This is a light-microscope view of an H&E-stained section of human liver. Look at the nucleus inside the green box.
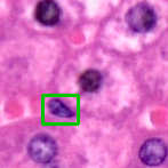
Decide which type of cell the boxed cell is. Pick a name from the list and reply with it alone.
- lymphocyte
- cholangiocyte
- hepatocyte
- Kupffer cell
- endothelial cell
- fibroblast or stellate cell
fibroblast or stellate cell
